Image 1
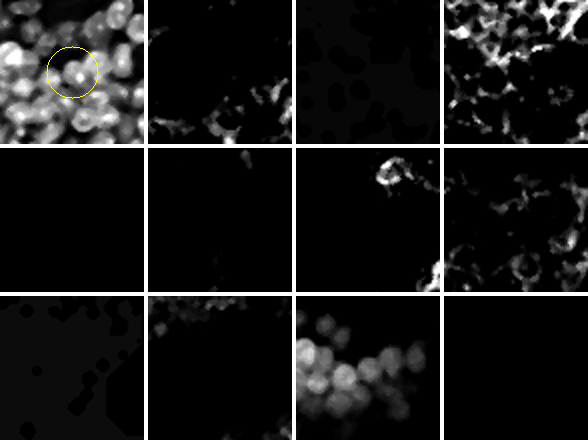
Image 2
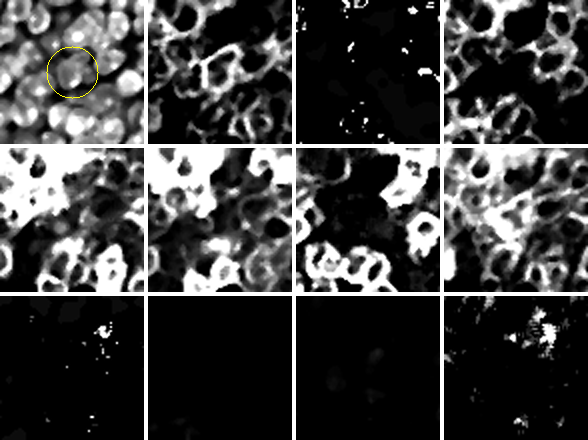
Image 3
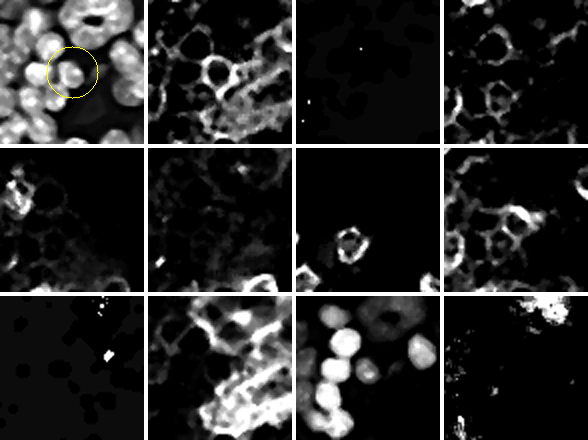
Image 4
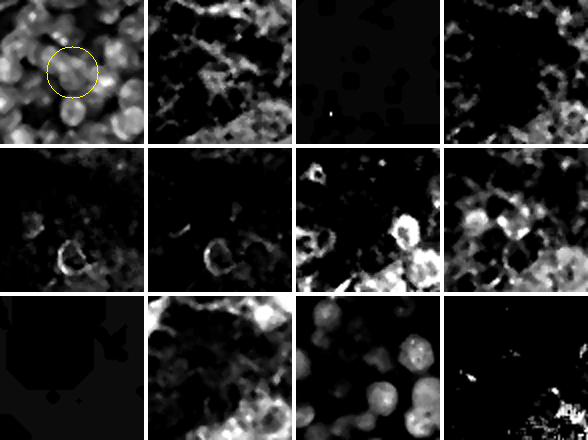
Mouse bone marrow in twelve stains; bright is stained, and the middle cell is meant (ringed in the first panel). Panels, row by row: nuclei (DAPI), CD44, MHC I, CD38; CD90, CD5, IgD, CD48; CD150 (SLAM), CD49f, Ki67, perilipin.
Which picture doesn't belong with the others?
Picture 1.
